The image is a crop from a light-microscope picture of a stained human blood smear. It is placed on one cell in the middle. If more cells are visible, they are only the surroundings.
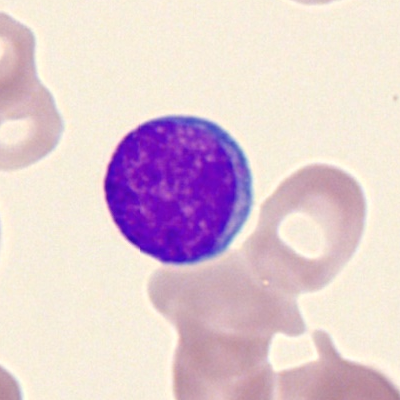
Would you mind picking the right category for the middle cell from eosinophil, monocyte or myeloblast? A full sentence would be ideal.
For this crop, the cell in the middle is a myeloblast.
